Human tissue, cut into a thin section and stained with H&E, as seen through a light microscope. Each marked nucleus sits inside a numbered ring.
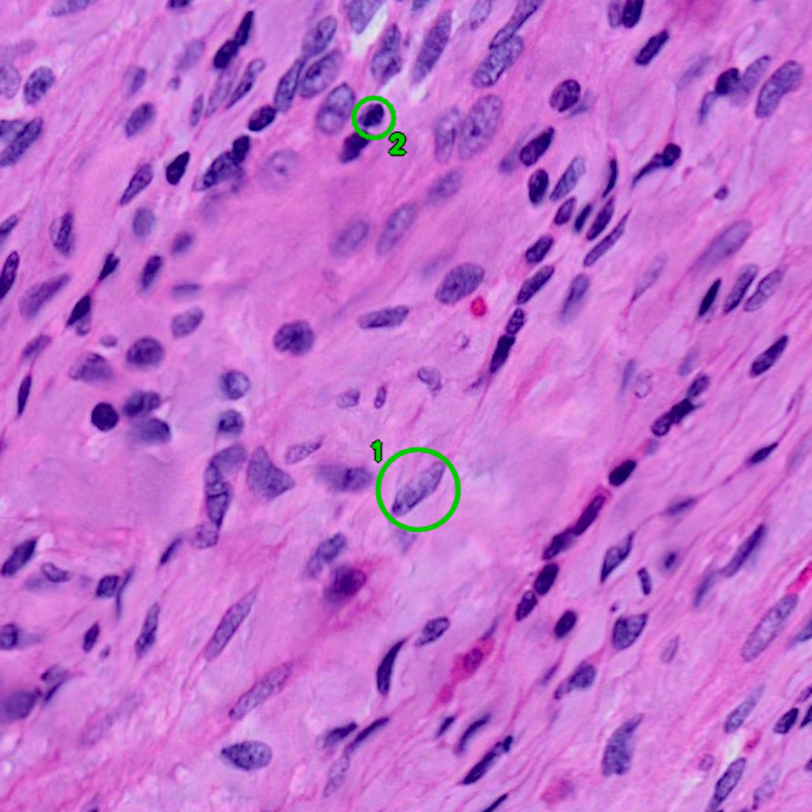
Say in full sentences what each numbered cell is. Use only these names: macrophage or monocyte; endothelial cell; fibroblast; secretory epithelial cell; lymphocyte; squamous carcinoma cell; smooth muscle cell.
Cell 1 is a fibroblast. Cell 2 is a lymphocyte.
